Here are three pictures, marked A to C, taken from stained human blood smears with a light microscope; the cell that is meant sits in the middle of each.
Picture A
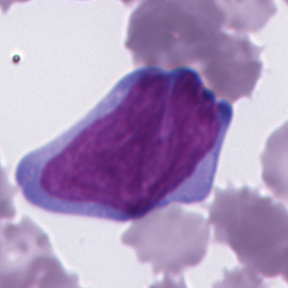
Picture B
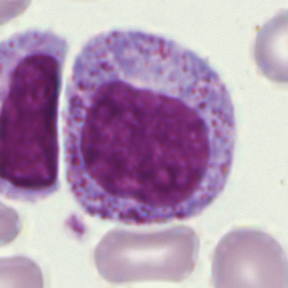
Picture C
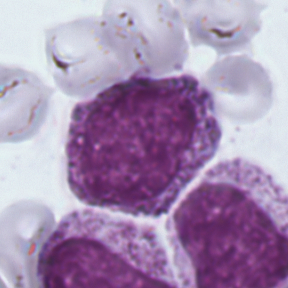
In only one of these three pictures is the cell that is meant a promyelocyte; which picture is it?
B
